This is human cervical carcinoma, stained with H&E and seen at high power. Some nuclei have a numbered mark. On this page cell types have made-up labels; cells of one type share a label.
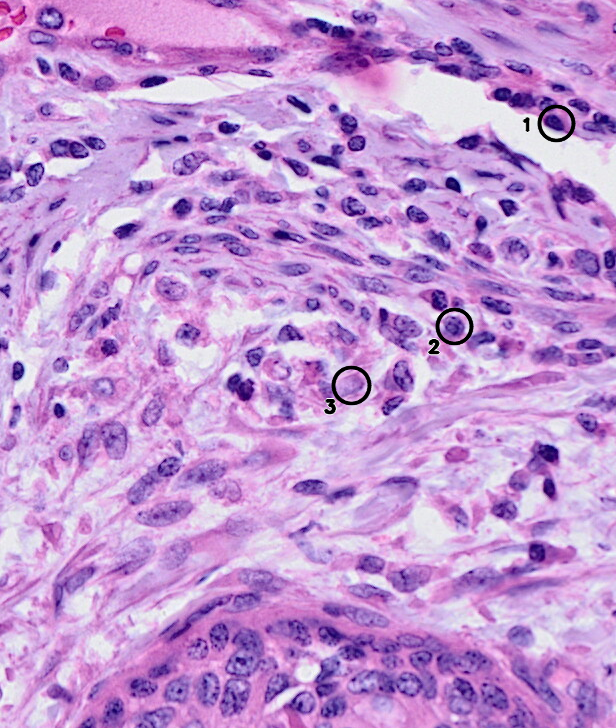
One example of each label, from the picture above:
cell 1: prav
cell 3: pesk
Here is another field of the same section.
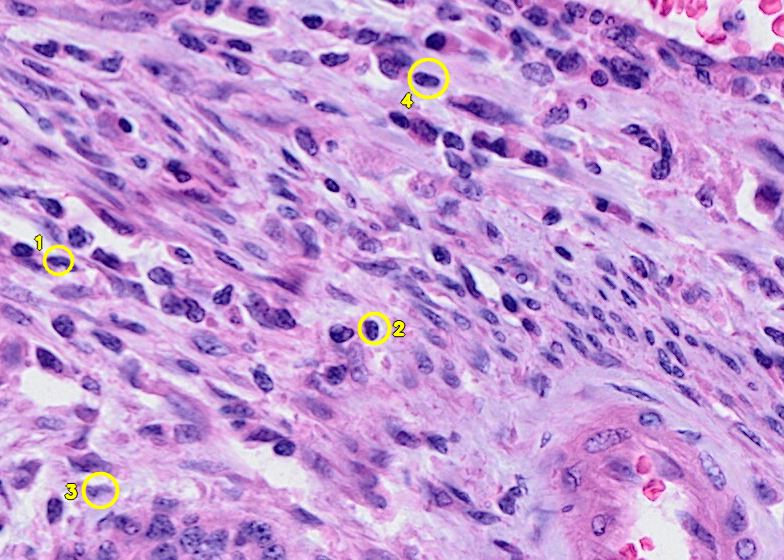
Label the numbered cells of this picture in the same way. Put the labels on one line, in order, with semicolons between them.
prav; prav; pesk; prav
